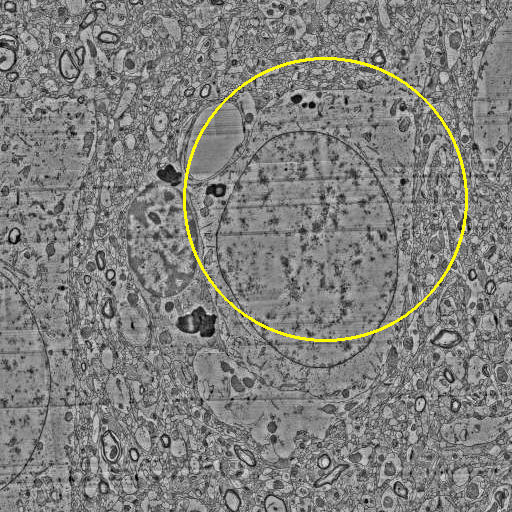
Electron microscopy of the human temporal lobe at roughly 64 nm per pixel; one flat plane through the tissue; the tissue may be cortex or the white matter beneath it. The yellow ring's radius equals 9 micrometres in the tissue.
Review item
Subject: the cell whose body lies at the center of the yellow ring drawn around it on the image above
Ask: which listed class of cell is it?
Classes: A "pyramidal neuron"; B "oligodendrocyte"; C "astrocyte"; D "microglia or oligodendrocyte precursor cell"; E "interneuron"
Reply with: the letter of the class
A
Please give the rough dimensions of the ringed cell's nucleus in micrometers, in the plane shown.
In this plane, about 15 micrometres in length and 12 in width.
